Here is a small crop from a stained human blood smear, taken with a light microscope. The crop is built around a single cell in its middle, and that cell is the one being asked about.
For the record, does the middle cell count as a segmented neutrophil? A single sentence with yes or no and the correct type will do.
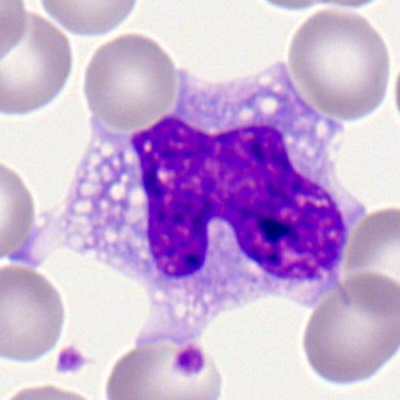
No, the cell placed in the centre is a monocyte and is not a segmented neutrophil.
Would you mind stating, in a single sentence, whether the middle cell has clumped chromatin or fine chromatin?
What stands out is fine chromatin lacking any coarse clumps.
